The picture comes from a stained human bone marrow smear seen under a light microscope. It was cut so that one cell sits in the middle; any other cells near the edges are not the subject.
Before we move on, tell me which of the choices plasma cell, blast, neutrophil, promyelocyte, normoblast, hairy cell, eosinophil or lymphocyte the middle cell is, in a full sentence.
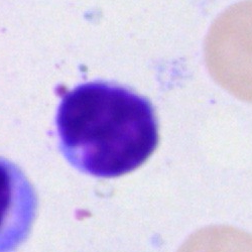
For this crop, the central cell is a lymphocyte.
